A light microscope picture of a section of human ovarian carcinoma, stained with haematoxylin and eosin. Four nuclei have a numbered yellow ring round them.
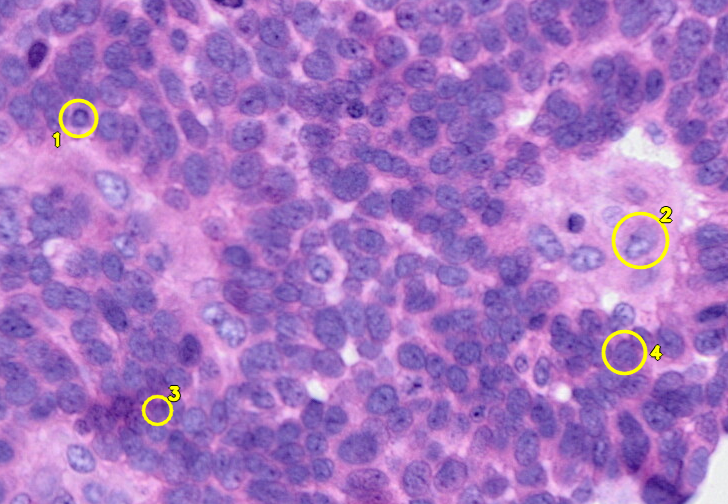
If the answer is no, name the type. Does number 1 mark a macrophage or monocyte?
Yes.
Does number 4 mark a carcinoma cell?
Yes.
